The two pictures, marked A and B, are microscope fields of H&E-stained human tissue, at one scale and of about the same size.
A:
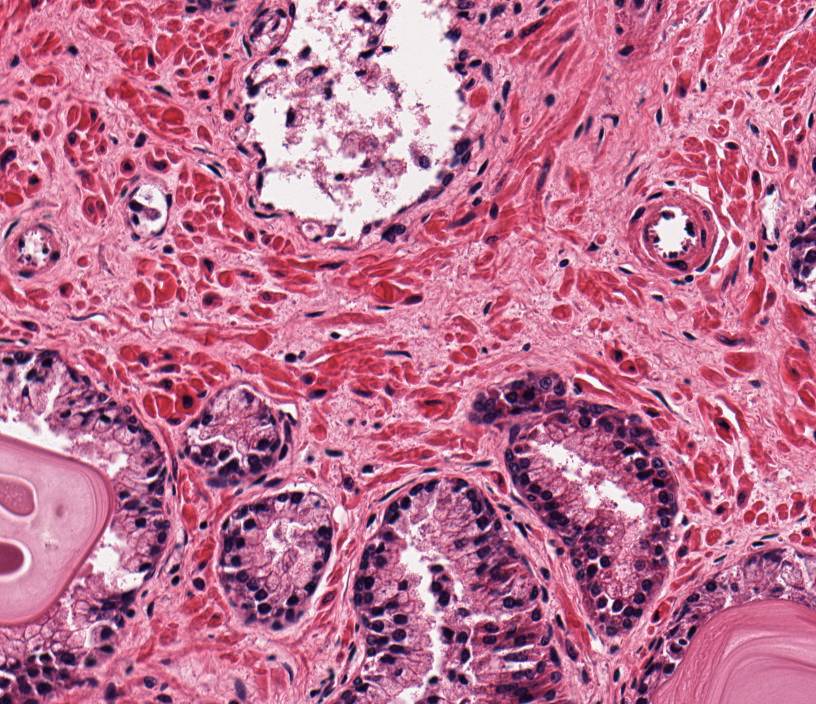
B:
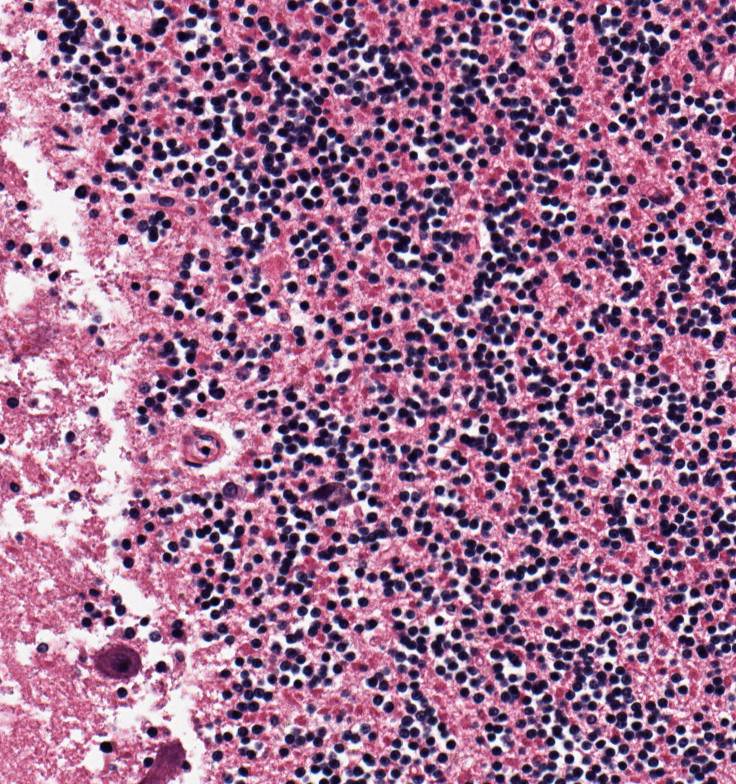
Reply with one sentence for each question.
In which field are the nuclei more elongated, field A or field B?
The nuclei are more elongated in field A.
